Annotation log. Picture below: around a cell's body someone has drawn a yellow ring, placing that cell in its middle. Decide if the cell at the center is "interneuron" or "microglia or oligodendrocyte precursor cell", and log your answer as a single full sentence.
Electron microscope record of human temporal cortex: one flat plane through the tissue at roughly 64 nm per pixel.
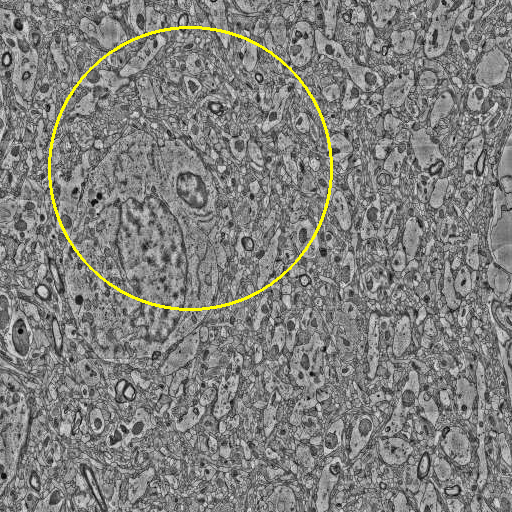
My entry records a microglial cell or oligodendrocyte precursor cell as the cell sitting at the center of the yellow ring.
